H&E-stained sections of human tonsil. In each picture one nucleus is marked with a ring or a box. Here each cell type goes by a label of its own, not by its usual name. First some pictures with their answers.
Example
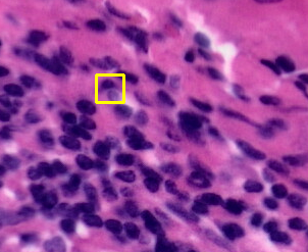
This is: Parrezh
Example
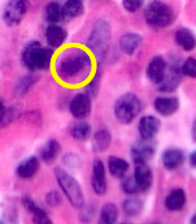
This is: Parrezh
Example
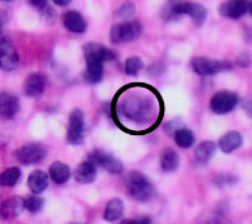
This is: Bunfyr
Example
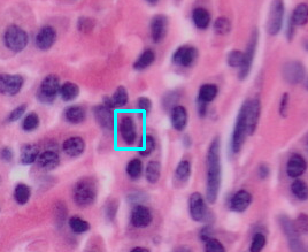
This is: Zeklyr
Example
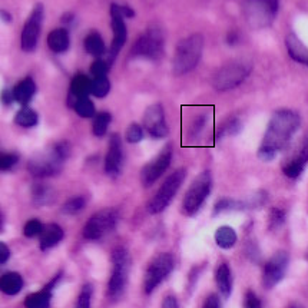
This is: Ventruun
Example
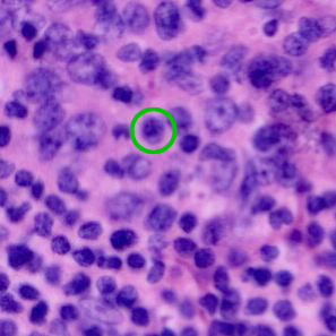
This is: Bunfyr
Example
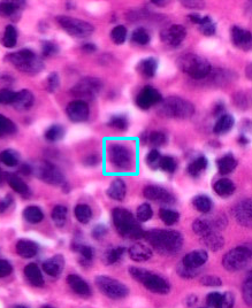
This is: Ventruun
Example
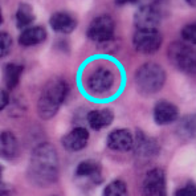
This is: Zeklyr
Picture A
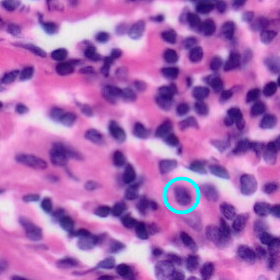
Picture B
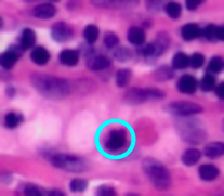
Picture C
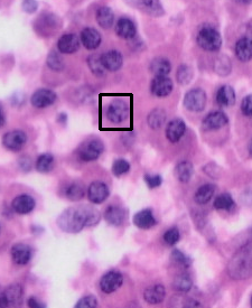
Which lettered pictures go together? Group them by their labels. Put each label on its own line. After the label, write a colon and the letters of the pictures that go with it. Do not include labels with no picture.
Parrezh: A, B
Zeklyr: C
